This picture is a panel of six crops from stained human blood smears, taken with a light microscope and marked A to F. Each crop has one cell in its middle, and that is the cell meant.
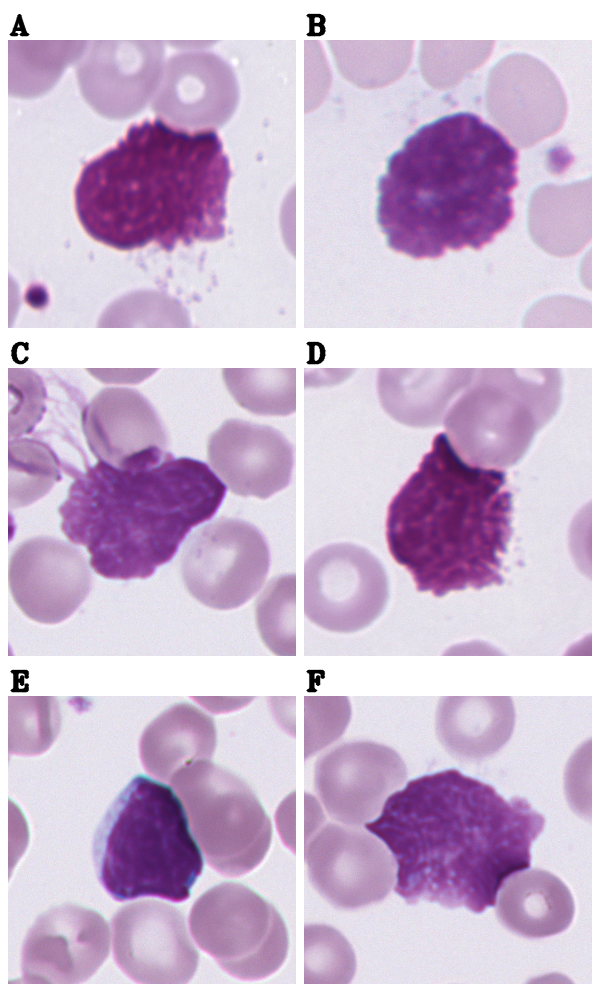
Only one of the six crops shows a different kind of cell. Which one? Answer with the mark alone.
E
